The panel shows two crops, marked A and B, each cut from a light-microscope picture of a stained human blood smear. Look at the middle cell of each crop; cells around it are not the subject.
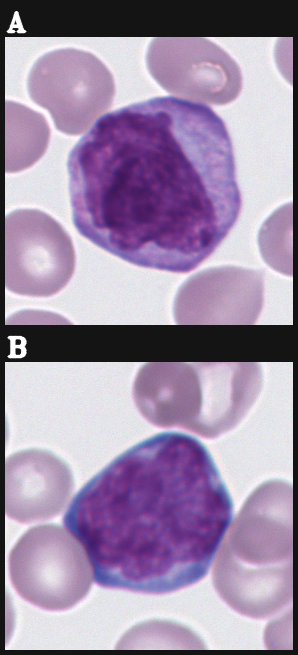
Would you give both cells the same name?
no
